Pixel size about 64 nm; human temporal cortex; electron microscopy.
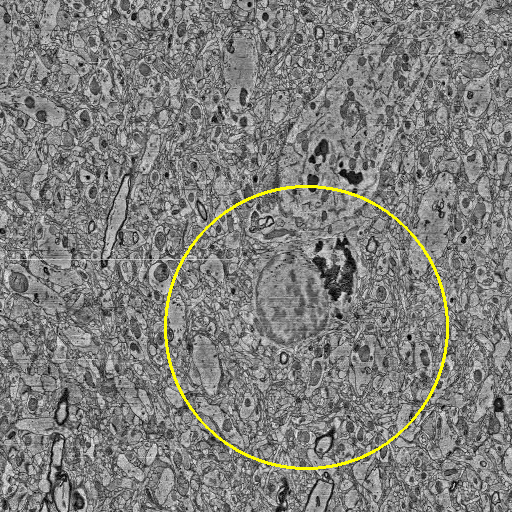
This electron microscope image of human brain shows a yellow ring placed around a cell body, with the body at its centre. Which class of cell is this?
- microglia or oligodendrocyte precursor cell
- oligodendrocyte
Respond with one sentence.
The cell body at the ring's centre is an oligodendrocyte.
